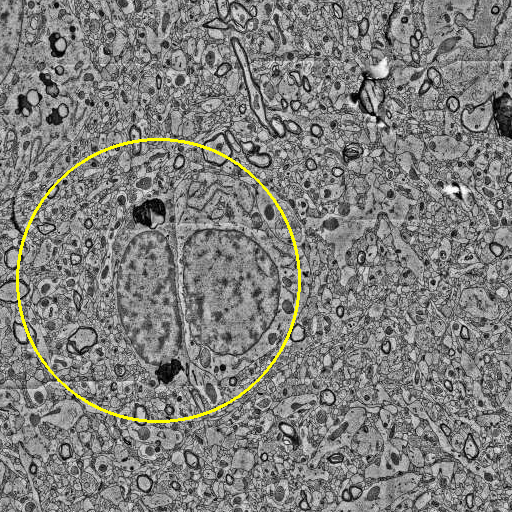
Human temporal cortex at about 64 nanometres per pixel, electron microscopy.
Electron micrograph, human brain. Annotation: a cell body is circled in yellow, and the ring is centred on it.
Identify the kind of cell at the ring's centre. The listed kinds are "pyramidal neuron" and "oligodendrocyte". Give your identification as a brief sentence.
The circled cell body is that of an oligodendrocyte.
